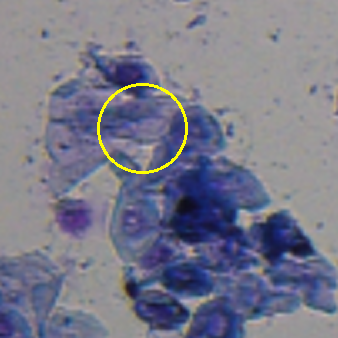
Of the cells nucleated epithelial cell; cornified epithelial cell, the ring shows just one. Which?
The ring shows a cornified epithelial cell.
